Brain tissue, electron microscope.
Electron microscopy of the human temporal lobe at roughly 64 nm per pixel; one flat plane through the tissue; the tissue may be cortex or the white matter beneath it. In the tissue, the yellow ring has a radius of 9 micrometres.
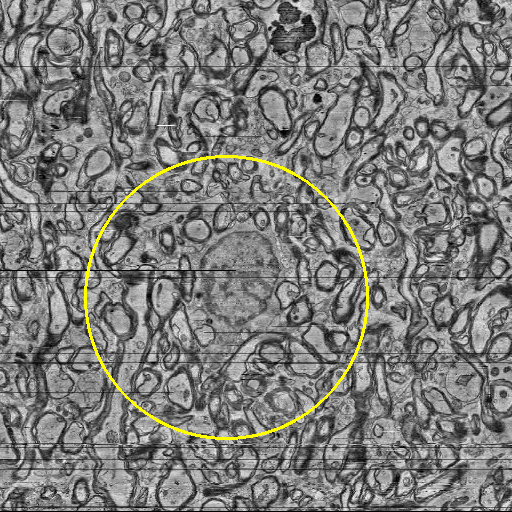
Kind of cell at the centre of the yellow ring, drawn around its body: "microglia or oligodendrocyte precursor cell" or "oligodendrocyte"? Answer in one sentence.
The ring's centre falls on an oligodendrocyte.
